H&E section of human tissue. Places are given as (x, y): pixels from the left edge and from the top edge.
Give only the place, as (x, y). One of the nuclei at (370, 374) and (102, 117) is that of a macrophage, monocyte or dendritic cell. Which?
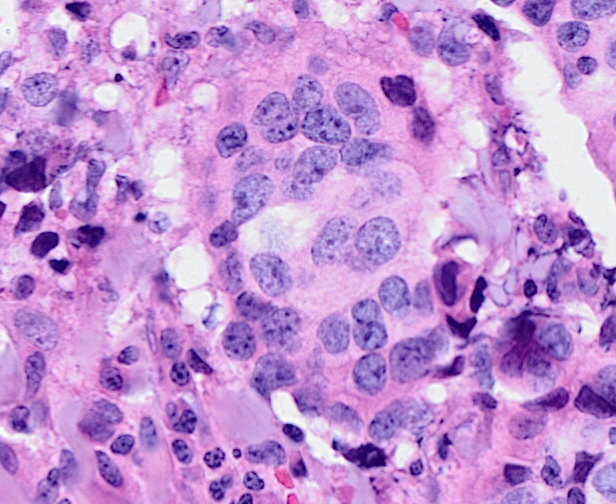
(102, 117)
